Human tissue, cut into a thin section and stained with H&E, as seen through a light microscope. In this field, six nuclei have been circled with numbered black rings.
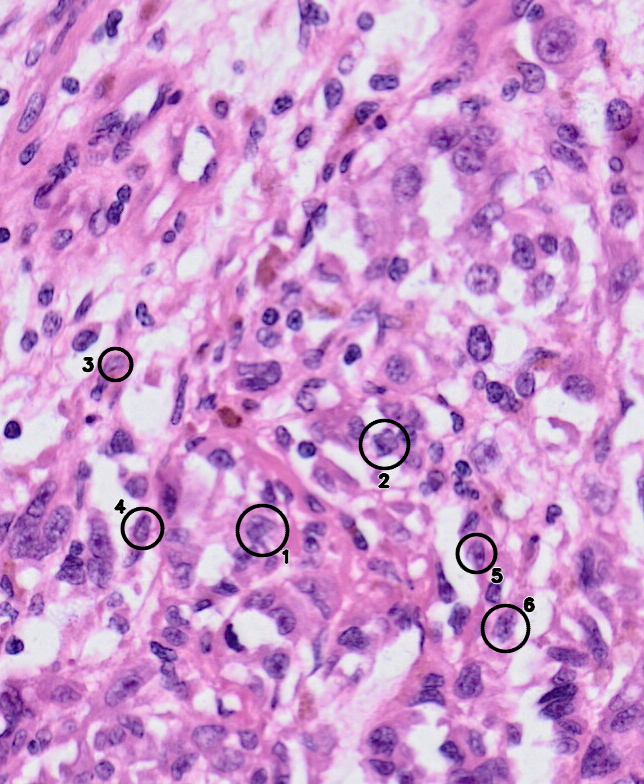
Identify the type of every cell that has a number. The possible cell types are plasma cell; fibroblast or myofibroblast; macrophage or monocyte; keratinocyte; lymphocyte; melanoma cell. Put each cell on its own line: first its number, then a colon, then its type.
1: melanoma cell
2: melanoma cell
3: macrophage or monocyte
4: macrophage or monocyte
5: melanoma cell
6: melanoma cell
